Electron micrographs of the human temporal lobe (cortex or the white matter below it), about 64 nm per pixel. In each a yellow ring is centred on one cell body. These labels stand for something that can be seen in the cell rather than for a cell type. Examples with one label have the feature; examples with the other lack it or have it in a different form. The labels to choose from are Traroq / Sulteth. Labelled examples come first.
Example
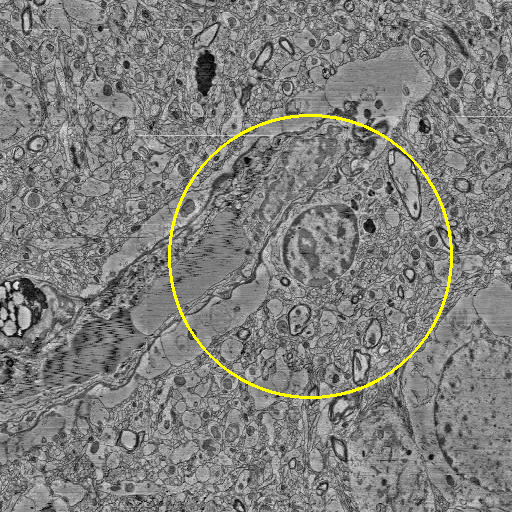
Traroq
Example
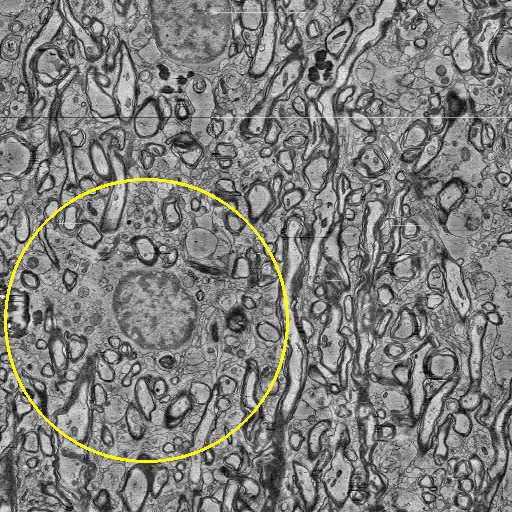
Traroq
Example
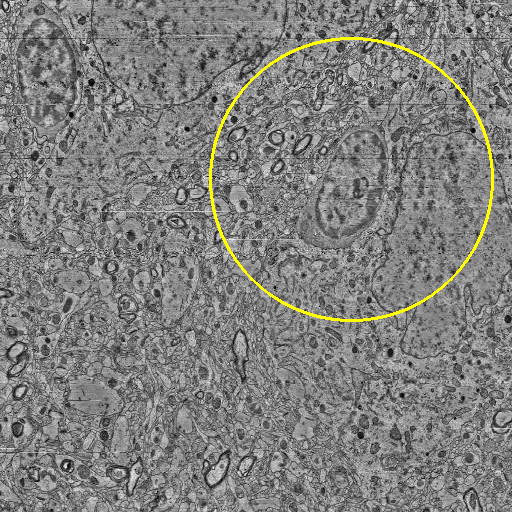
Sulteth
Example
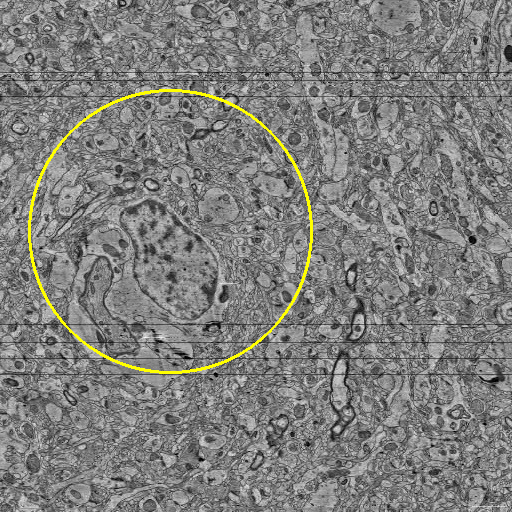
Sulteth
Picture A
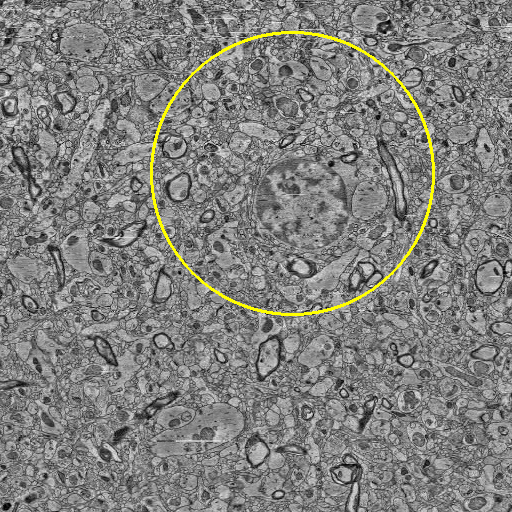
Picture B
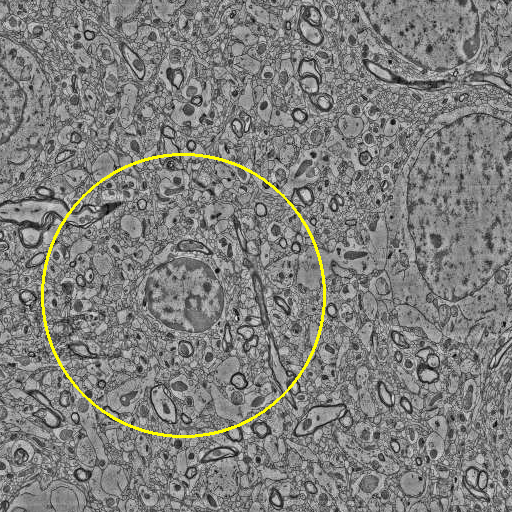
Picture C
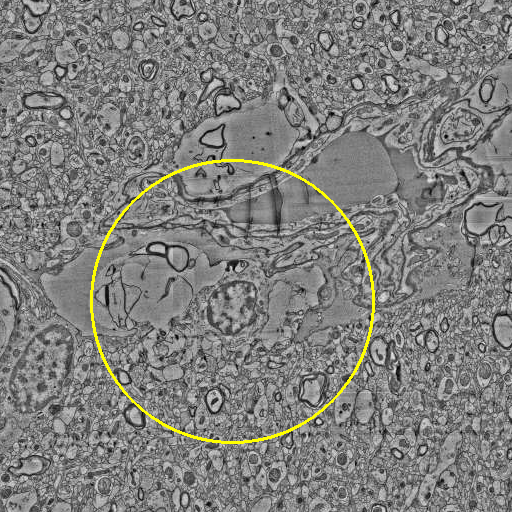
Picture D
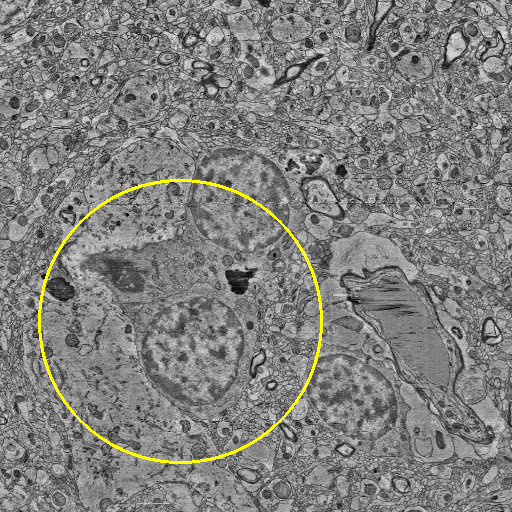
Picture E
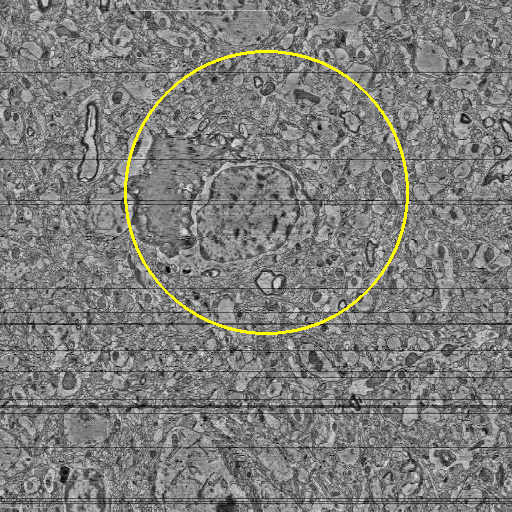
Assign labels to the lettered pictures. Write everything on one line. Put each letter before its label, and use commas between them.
A Traroq, B Traroq, C Traroq, D Traroq, E Traroq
